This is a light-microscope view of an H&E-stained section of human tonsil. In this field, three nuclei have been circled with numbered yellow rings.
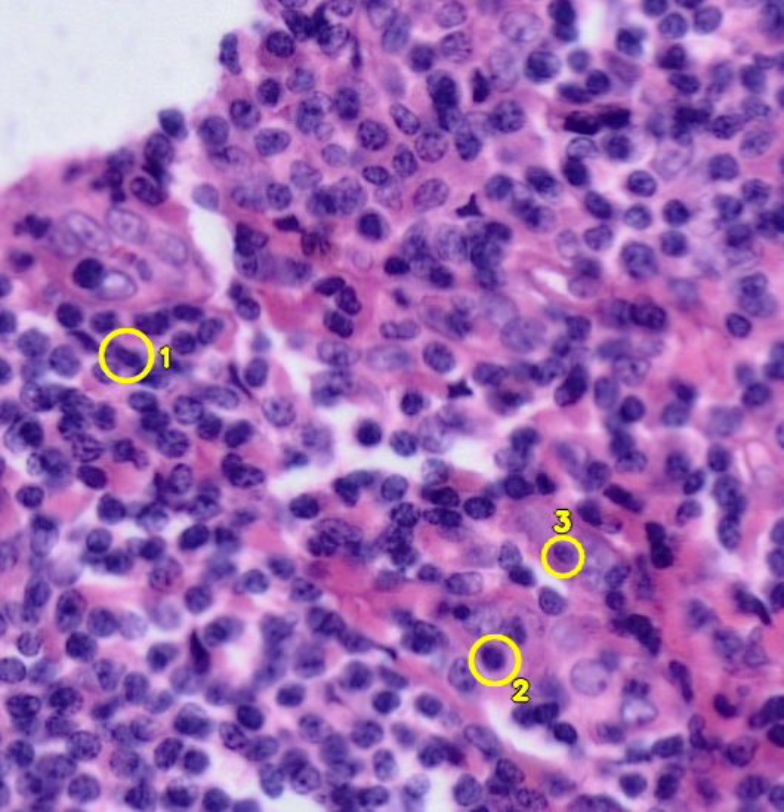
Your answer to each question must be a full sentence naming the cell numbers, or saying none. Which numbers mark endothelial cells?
The cells that the numbers 2 and 3 belong to are endothelial cells.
